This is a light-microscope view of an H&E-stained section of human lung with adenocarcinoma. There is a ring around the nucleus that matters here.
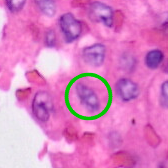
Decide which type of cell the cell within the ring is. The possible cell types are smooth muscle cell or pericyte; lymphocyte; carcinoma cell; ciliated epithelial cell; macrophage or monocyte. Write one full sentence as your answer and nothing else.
For the purposes of cell typing, the cell within the ring is categorized as a macrophage or monocyte.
